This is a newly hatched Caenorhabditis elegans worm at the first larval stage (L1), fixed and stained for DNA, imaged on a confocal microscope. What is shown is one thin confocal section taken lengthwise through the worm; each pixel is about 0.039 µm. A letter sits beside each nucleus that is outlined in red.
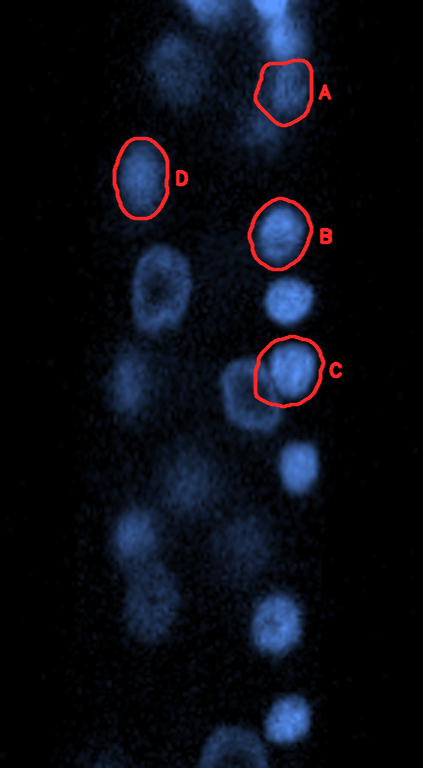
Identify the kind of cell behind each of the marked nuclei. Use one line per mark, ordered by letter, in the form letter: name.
A: neuron
B: body wall muscle cell
C: neuron
D: body wall muscle cell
